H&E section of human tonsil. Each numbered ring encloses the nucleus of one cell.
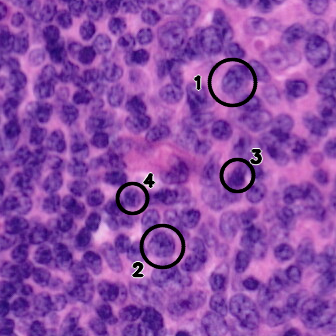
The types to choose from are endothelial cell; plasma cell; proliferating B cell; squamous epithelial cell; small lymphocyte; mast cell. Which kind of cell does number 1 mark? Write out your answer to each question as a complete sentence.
Cell 1 in the field is a proliferating B cell.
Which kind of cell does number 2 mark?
The one numbered 2 among the marked cells is a proliferating B cell.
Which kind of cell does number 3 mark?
The cell identified by the number 3 is a proliferating B cell.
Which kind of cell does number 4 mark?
The nucleus labelled 4 belongs to a small lymphocyte.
